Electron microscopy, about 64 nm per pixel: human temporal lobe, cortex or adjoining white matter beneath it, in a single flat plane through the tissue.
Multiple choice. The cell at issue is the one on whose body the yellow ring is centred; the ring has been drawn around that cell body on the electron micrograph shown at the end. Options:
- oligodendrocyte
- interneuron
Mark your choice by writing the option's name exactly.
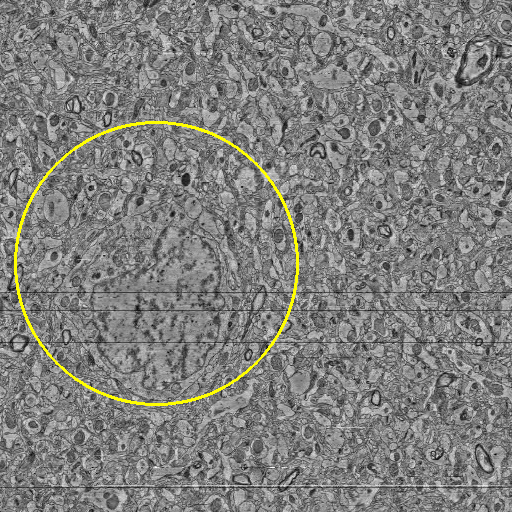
interneuron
